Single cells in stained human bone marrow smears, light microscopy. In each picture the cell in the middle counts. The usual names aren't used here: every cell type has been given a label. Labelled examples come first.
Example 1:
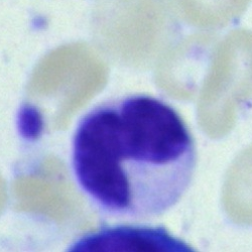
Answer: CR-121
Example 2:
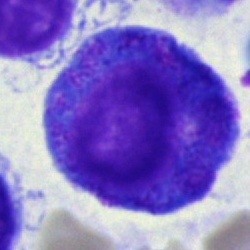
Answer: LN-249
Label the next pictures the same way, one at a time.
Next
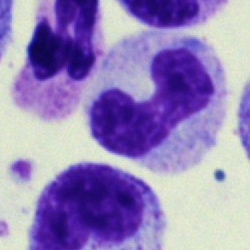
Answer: CR-121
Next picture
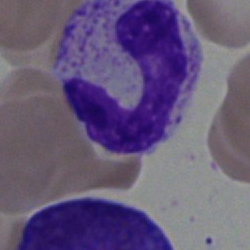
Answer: CR-121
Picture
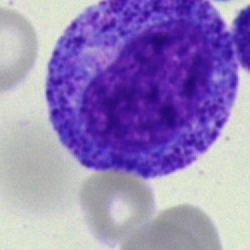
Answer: LN-249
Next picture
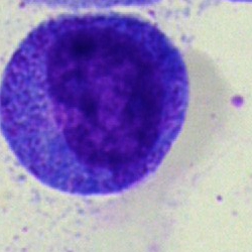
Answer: LN-249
